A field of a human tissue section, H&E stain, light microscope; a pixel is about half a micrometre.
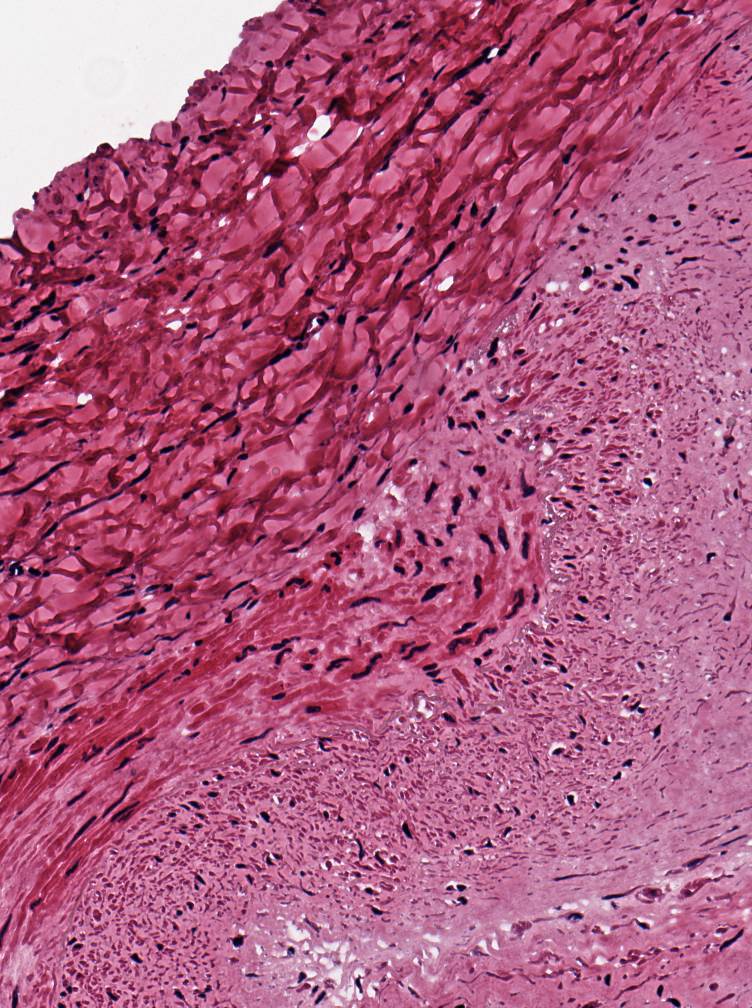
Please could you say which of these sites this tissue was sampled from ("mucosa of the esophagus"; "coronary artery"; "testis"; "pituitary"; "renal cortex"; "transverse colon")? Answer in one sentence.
The site this tissue was sampled from is the coronary artery.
